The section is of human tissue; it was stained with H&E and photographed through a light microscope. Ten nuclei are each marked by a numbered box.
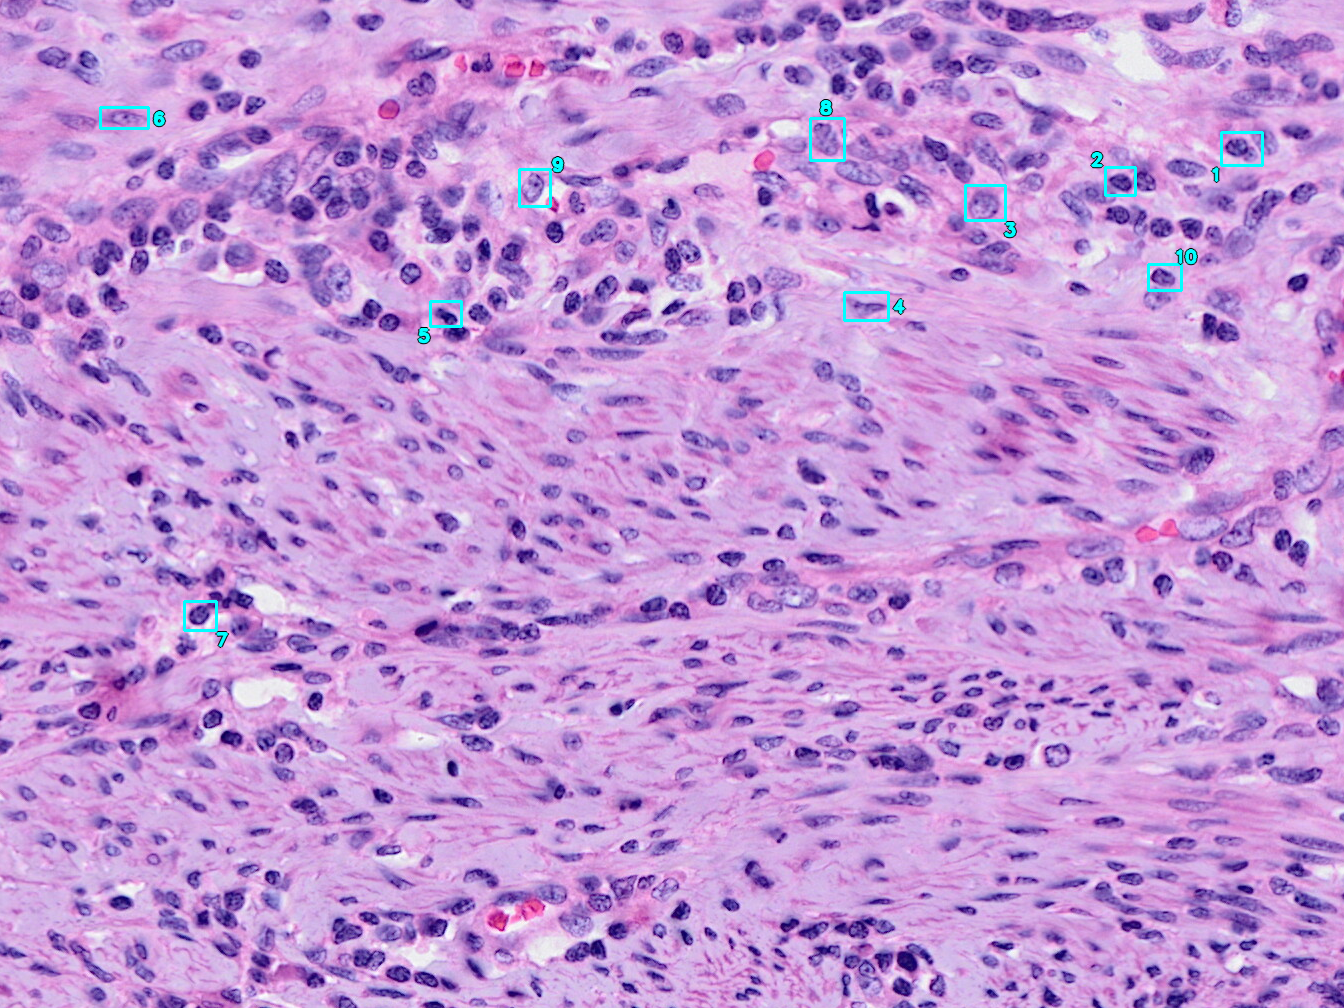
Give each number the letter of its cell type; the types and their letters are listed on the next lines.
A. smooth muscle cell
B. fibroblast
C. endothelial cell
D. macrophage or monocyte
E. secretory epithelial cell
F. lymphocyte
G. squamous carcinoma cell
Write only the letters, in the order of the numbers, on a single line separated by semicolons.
F; F; C; B; F; A; F; C; C; F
